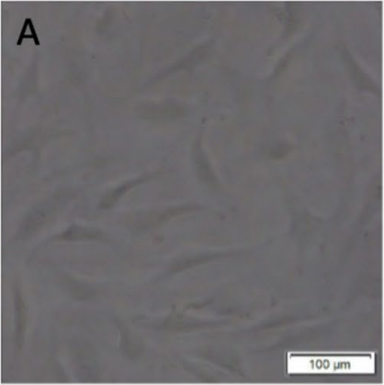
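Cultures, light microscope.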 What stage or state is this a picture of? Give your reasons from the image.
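Cells are elongated and tapered at both ends. Few cells appear round. The answer: spindle-like fibroblastic morphology.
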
